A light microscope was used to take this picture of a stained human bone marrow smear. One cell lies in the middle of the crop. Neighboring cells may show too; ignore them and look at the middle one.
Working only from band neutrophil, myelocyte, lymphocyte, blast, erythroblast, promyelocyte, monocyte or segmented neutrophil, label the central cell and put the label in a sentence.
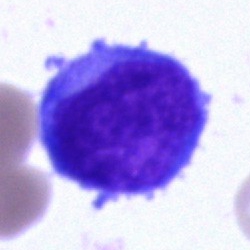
The centrally placed cell is classified as a blast.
